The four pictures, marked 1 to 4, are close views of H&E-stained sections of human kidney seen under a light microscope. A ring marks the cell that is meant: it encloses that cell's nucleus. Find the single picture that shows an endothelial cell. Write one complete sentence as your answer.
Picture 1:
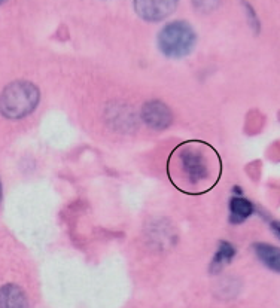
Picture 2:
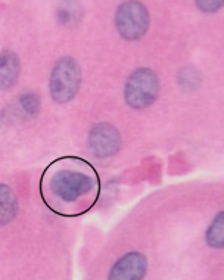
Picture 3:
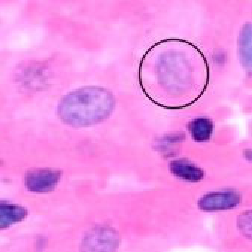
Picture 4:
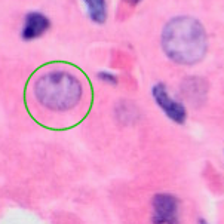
It is picture 2 that shows the endothelial cell.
